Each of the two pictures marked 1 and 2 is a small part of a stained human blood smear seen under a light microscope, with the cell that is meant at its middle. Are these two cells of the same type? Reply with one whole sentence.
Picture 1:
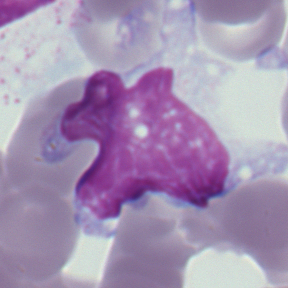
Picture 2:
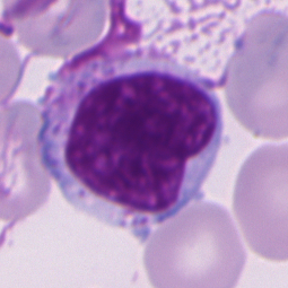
No; the cell in picture 1 is a monocyte, while the one in picture 2 is a large granular lymphocyte.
